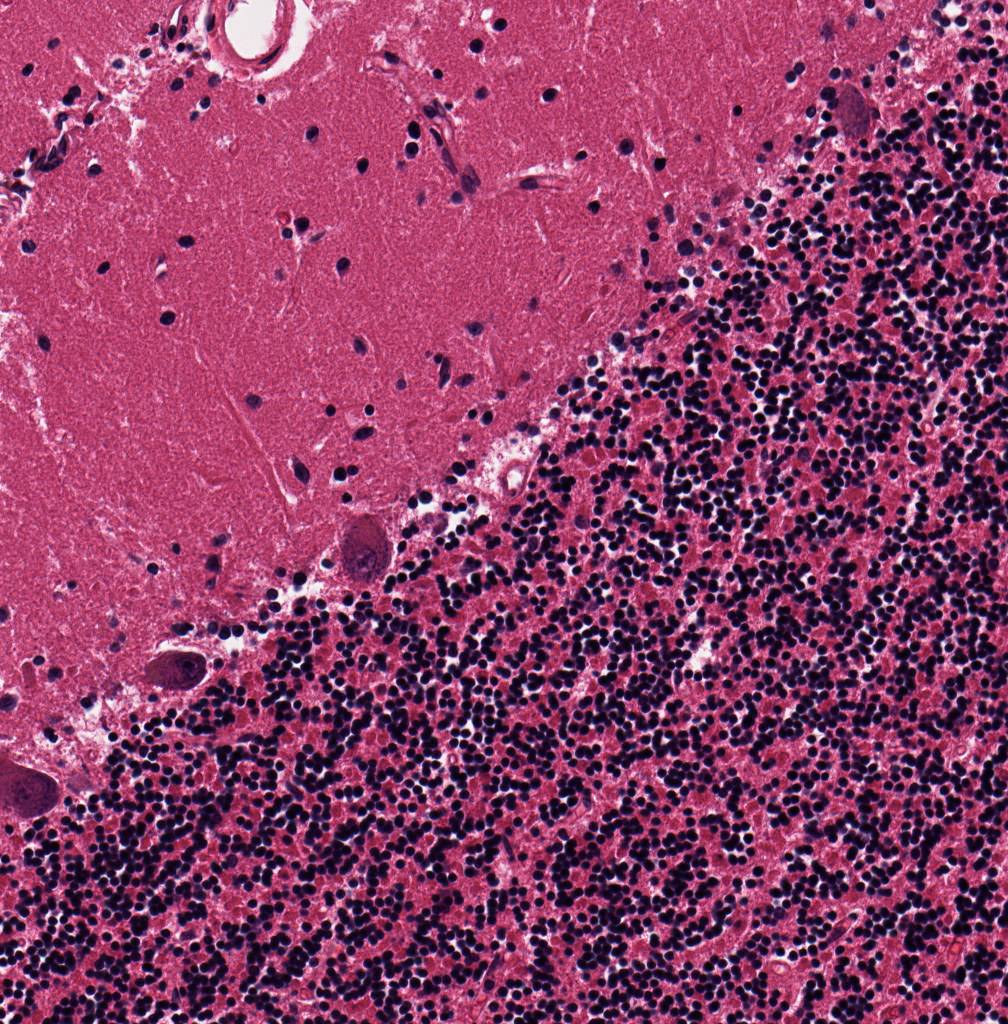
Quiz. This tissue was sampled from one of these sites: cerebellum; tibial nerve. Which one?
cerebellum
